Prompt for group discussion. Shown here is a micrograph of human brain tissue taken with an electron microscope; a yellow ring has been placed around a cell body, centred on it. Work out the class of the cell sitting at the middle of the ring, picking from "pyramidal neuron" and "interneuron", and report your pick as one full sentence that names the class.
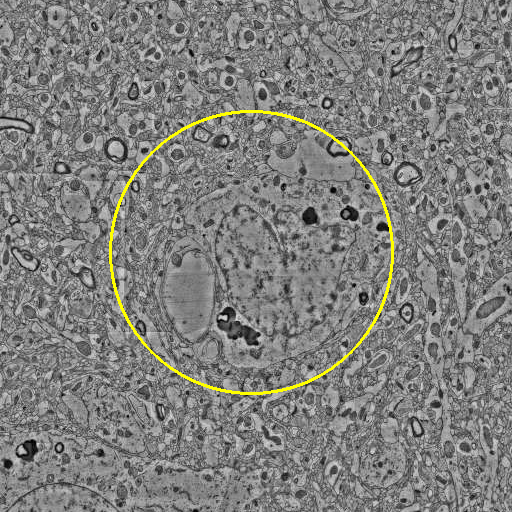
The cell sitting at the middle of the yellow ring is an interneuron.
